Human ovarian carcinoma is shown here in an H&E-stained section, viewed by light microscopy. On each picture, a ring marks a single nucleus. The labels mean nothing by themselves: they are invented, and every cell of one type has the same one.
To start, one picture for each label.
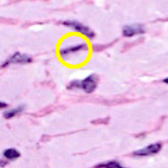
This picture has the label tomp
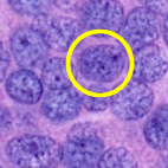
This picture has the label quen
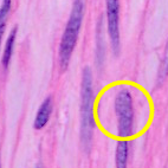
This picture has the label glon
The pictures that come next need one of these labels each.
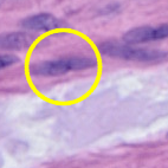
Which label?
glon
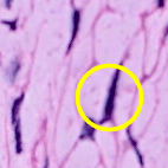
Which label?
tomp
